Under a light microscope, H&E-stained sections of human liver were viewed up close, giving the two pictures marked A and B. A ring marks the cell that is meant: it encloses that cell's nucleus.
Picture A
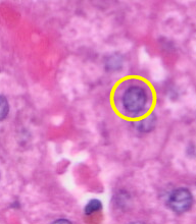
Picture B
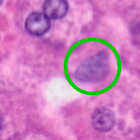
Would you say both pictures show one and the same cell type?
no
